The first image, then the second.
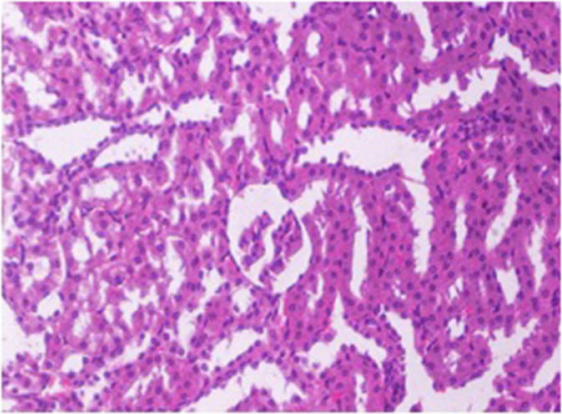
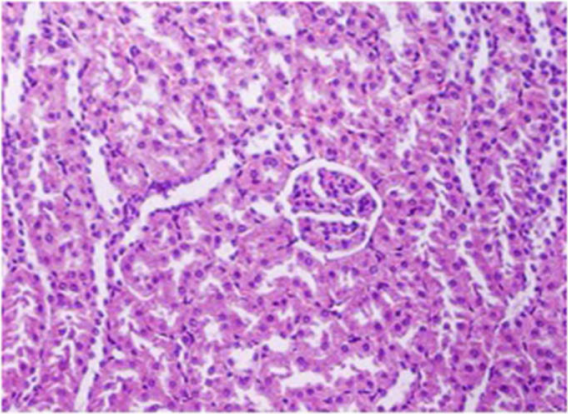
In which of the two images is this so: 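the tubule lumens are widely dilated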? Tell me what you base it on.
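The first image. First image: many tubules have wide, irregular pale lumens with large white gaps. Second image: tubules are closely packed with narrow lumens.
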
